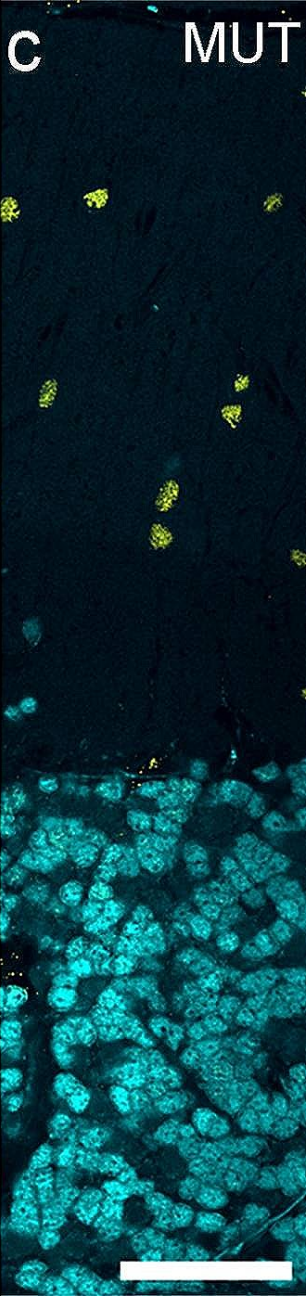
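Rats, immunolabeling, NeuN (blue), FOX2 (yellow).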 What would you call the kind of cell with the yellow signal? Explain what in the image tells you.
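Yellow nuclei are scattered singly through the sparse upper layer. Yellow cells lie at various depths above the dense cell layer. On this evidence: molecular layer interneurons.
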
